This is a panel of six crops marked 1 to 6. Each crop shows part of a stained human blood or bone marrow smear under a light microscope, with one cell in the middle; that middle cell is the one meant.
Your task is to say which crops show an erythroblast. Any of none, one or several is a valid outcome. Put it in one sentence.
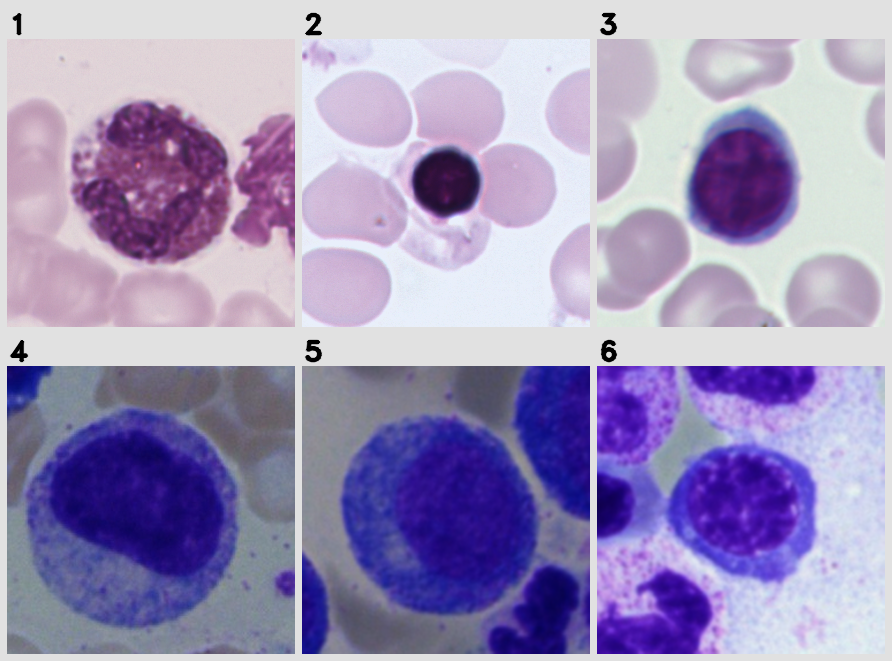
Crops 2, 3 and 6 are the crops in which erythroblasts are shown.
